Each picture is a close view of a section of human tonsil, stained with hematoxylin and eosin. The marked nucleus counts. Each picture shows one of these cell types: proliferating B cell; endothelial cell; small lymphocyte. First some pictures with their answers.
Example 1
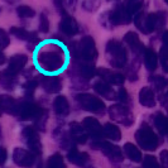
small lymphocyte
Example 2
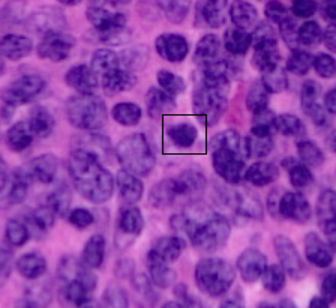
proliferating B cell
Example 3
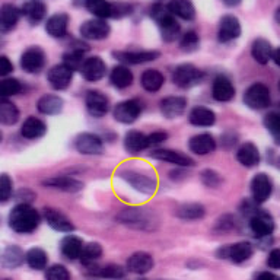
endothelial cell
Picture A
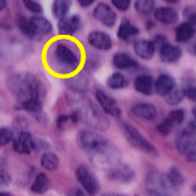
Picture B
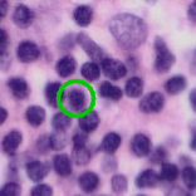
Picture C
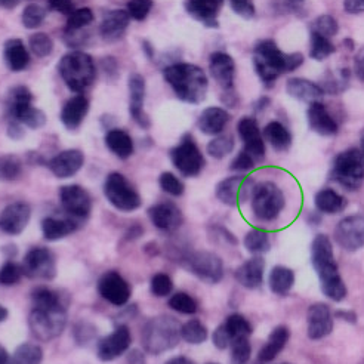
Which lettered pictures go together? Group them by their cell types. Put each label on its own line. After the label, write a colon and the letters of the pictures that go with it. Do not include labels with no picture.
proliferating B cell: C
endothelial cell: A
small lymphocyte: B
